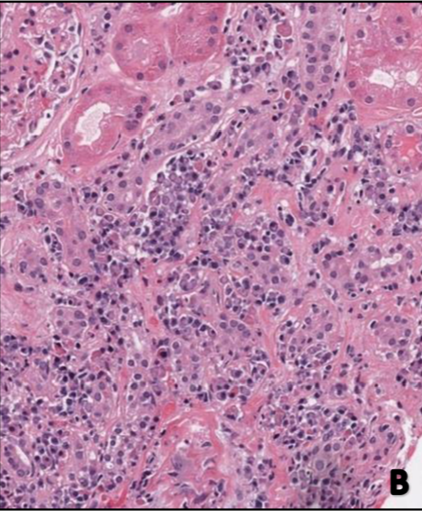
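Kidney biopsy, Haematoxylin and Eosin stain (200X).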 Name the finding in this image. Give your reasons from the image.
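The interstitium between tubules is crowded with inflammatory cells. Tubules with pink cytoplasm lie separated by the infiltrate.
Hence: tubulointerstitial nephritis.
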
